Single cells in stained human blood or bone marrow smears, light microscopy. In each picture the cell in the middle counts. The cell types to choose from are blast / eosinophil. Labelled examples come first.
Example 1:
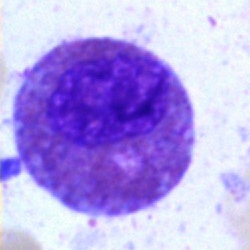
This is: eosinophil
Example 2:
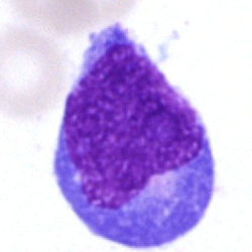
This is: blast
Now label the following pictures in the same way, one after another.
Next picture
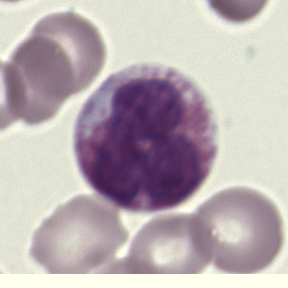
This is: eosinophil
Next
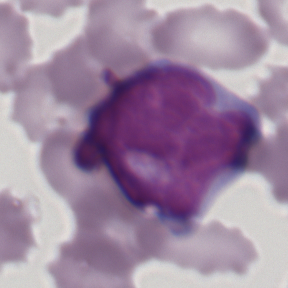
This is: blast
